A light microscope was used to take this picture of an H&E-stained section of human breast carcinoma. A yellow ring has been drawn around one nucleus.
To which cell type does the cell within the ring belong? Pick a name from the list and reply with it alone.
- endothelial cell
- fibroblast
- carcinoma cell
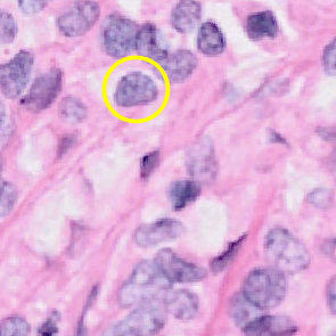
carcinoma cell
